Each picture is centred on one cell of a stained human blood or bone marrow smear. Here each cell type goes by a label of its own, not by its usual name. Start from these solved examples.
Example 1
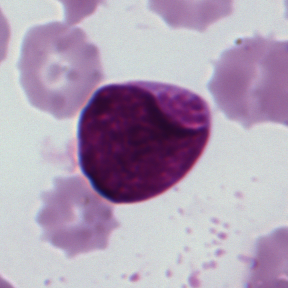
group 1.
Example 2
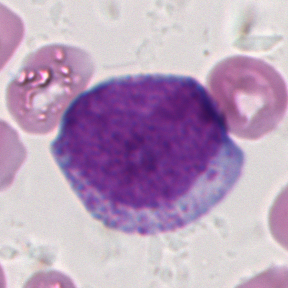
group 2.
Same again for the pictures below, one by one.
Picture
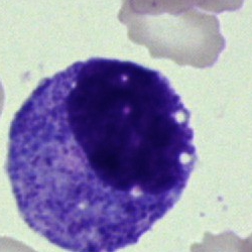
group 2.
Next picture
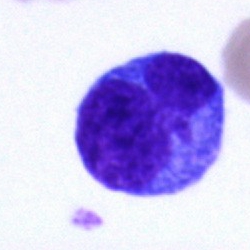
group 1.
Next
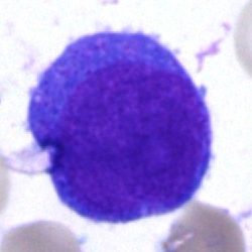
group 1.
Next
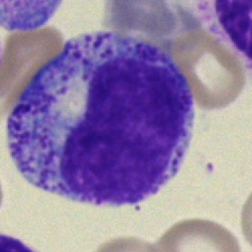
group 2.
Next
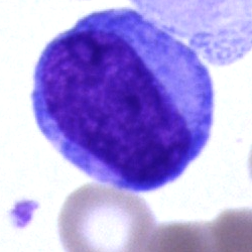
group 1.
